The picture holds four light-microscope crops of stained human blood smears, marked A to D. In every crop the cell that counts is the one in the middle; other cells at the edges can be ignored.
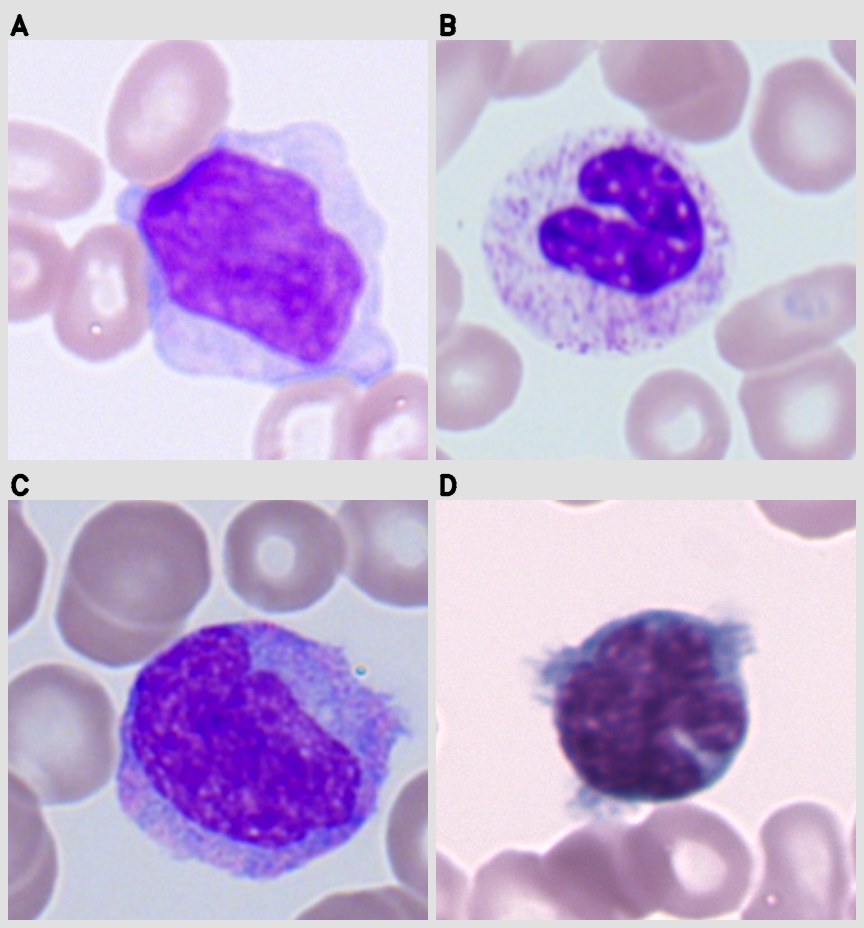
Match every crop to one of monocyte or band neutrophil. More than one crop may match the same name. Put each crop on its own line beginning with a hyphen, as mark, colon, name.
- A: monocyte
- B: band neutrophil
- C: monocyte
- D: monocyte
